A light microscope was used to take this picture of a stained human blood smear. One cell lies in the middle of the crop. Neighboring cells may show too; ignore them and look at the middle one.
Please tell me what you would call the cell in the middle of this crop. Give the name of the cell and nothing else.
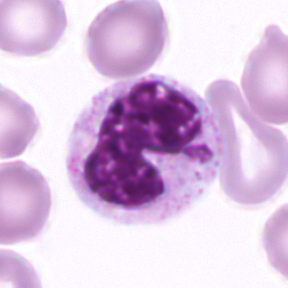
band neutrophil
